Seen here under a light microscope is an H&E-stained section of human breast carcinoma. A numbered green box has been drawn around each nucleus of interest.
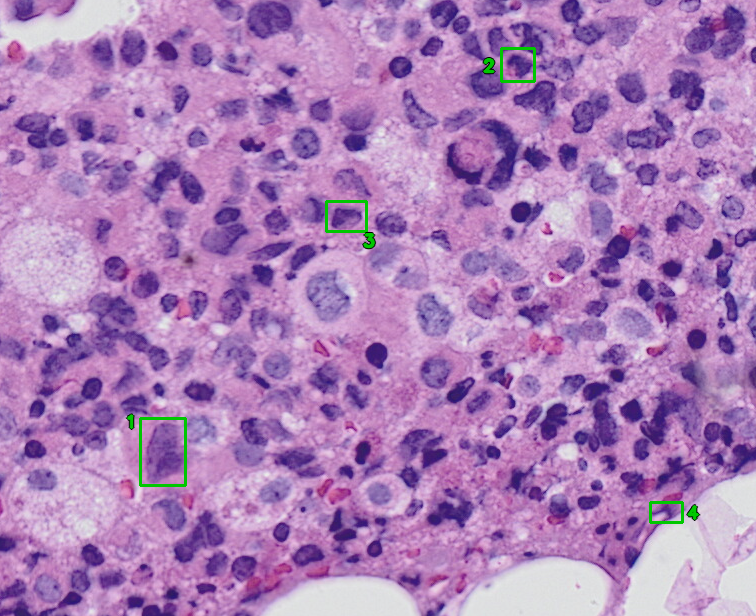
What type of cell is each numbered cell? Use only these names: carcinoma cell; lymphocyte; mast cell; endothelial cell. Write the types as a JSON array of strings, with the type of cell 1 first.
["carcinoma cell", "carcinoma cell", "carcinoma cell", "endothelial cell"]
